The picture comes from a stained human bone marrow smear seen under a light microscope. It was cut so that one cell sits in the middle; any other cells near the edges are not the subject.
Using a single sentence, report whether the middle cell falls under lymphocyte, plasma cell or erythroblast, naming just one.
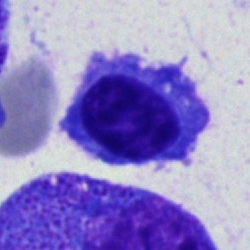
This crop's central cell is a plasma cell.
